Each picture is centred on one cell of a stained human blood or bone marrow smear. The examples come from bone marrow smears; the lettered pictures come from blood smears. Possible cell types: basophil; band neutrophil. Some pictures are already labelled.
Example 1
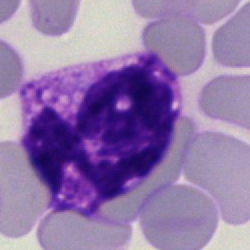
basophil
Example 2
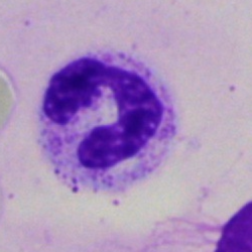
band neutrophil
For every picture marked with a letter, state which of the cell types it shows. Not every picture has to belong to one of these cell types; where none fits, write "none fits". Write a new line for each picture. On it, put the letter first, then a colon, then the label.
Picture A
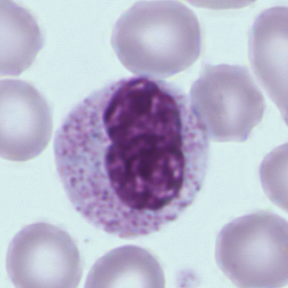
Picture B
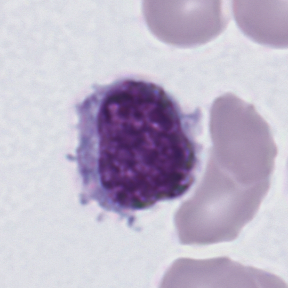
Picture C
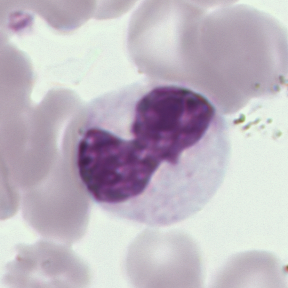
A: band neutrophil
B: none fits
C: band neutrophil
